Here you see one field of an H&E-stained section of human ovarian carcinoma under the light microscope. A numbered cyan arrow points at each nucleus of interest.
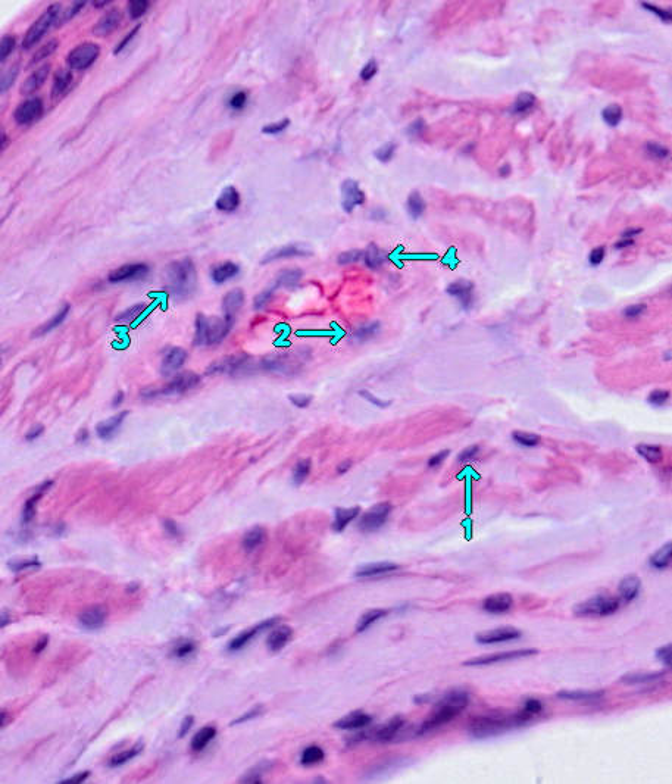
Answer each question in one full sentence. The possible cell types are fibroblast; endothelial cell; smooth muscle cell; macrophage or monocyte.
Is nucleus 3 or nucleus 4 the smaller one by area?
The smaller nucleus is 4, and 3 covers roughly 2 times its area.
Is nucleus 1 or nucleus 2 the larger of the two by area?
Of the two, number 2 is bigger and takes up about 2 times the area of number 1.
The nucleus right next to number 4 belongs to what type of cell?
The cell nearest to number 4 is an endothelial cell.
